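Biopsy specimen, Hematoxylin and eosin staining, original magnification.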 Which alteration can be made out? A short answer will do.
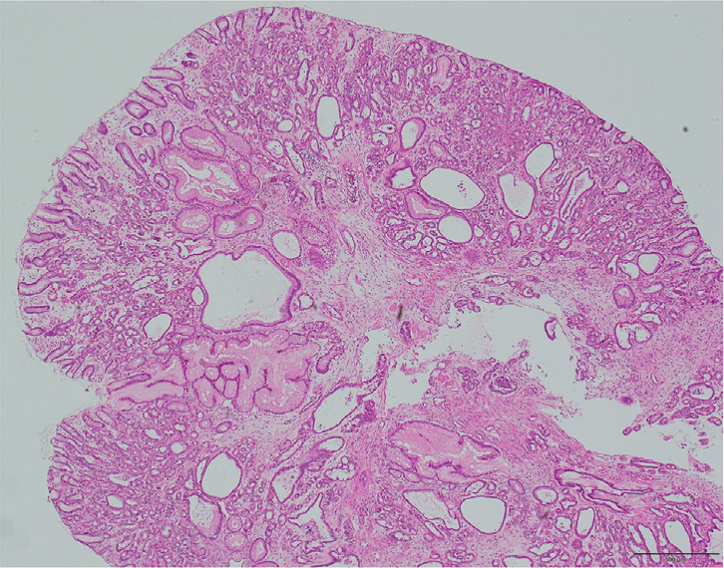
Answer: microcysts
